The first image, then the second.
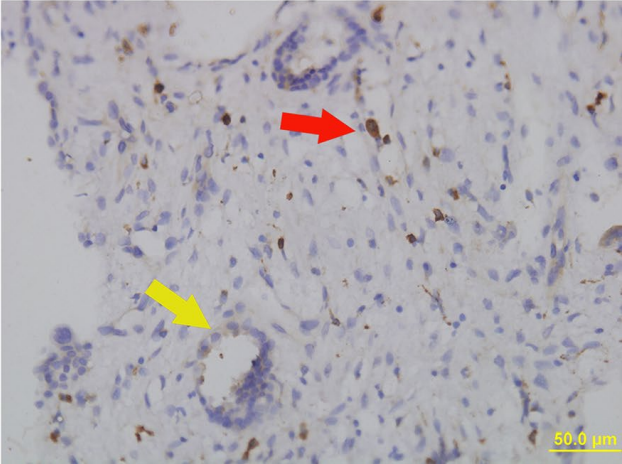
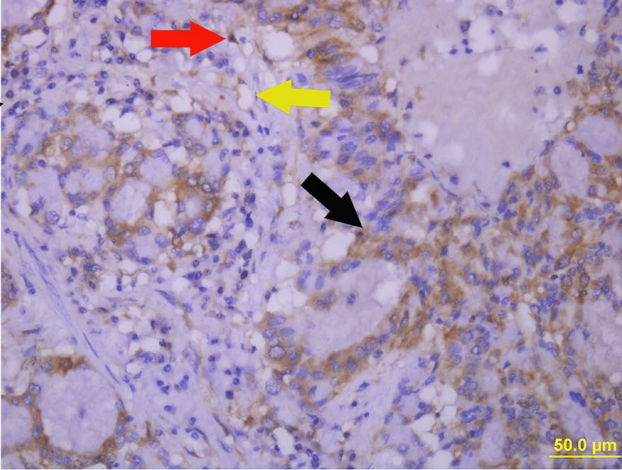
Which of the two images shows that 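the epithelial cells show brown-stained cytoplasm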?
The second image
